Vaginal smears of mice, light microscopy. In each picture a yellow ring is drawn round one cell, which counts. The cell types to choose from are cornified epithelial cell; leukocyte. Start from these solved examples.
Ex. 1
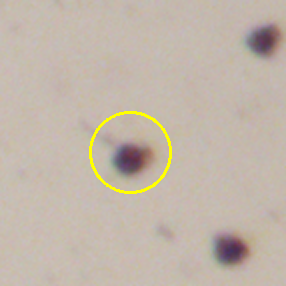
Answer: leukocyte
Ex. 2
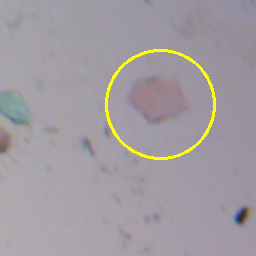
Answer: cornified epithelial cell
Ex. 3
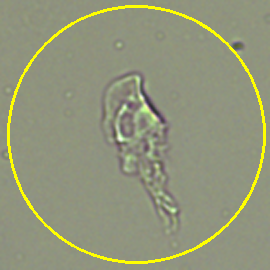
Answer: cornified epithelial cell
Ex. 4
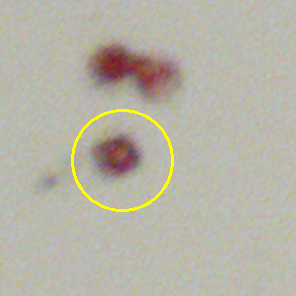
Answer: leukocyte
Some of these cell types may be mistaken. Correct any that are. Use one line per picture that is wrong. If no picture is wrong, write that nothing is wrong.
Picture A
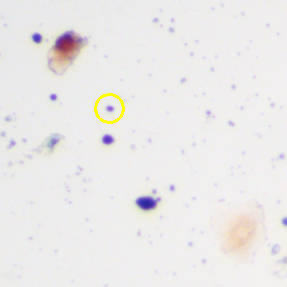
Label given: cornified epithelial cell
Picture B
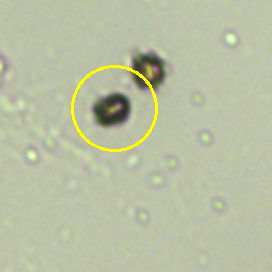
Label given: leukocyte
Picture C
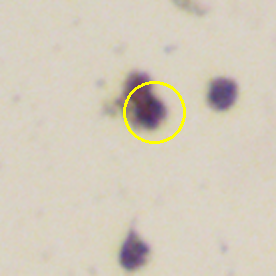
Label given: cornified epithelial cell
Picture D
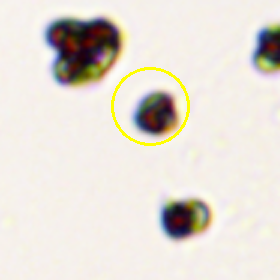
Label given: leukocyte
Wrong: A (cornified epithelial cell); correct: leukocyte
Wrong: C (cornified epithelial cell); correct: leukocyte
